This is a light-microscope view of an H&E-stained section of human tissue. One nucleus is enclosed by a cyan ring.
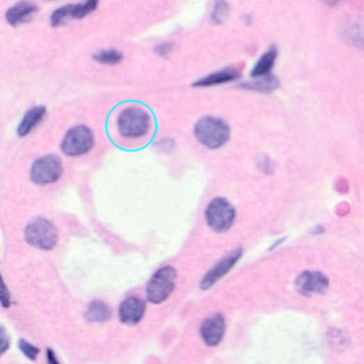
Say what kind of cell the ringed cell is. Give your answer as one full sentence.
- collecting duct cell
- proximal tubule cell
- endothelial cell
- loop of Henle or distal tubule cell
Considered by cell type, the ringed cell is a loop of Henle or distal tubule cell.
